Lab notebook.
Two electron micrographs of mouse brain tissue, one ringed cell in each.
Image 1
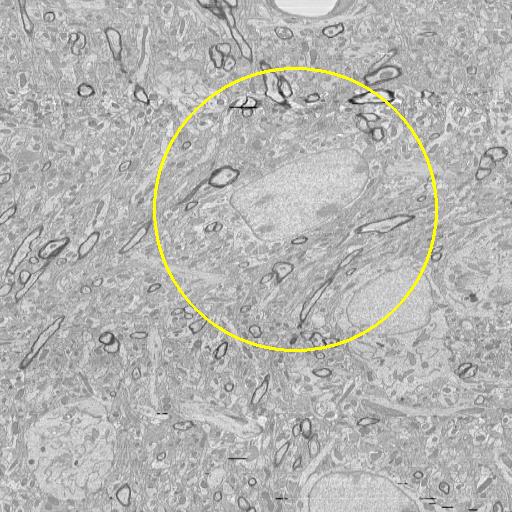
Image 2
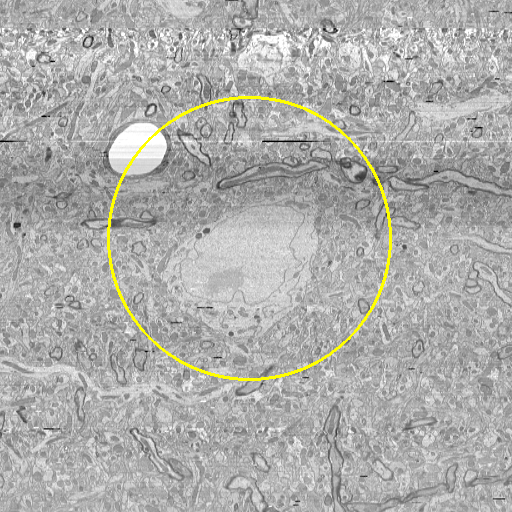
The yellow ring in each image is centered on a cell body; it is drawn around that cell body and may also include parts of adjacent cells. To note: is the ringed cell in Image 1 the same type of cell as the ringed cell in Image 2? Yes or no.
no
